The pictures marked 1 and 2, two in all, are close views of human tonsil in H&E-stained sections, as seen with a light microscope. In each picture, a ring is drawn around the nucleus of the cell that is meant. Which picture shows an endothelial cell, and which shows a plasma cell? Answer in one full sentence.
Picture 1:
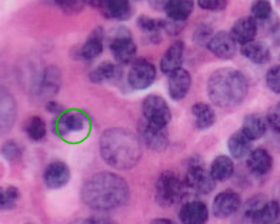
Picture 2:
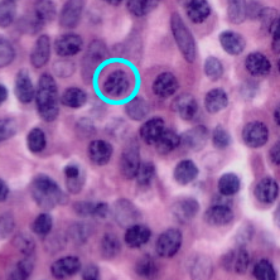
It is picture 1 that shows an endothelial cell, and picture 2 that shows a plasma cell.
